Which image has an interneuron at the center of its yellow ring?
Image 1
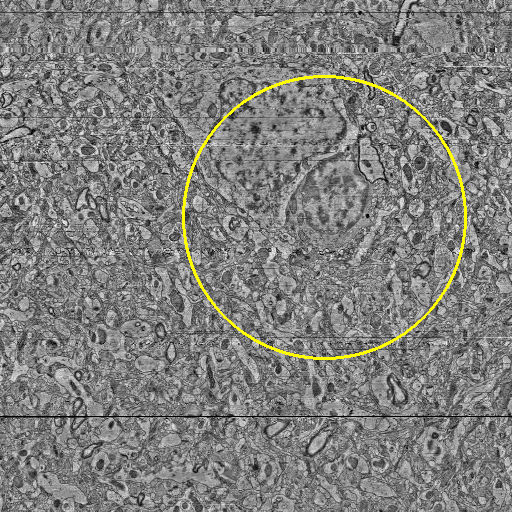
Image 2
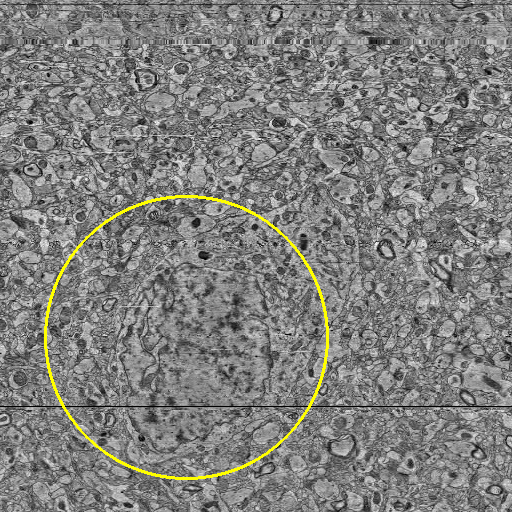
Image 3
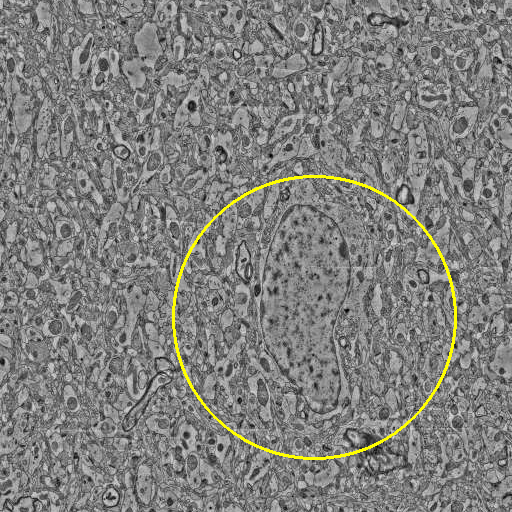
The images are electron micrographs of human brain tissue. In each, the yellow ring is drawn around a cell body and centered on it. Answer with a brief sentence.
It is at the center of the ring in Image 2.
